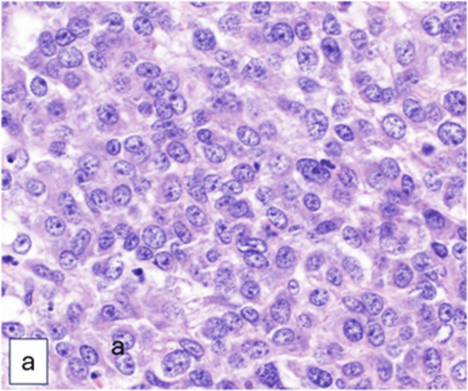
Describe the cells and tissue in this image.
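A sheet of undifferentiated round tumor cells fills the field, densely packed without forming glands or other organised structures. The cytoplasm is scant to moderate and pale pink, with indistinct cell borders.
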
